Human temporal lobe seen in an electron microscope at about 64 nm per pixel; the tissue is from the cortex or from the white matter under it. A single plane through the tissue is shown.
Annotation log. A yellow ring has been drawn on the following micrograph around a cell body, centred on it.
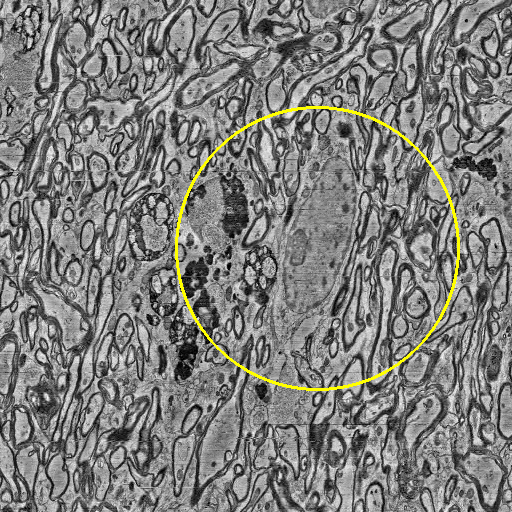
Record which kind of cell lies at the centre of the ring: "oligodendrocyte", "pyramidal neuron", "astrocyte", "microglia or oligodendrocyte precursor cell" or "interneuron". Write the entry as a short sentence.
The cell the ring is centred on is an astrocyte.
